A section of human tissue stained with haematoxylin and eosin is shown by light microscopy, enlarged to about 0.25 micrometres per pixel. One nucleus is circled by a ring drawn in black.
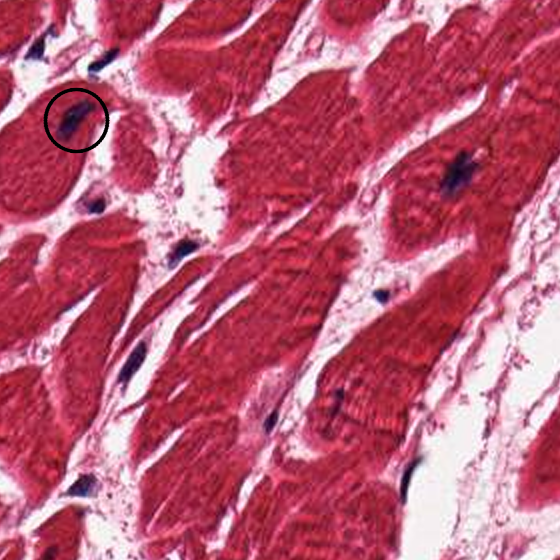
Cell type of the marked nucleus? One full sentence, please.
The nucleus that the mark indicates belongs to a cardiomyocyte.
